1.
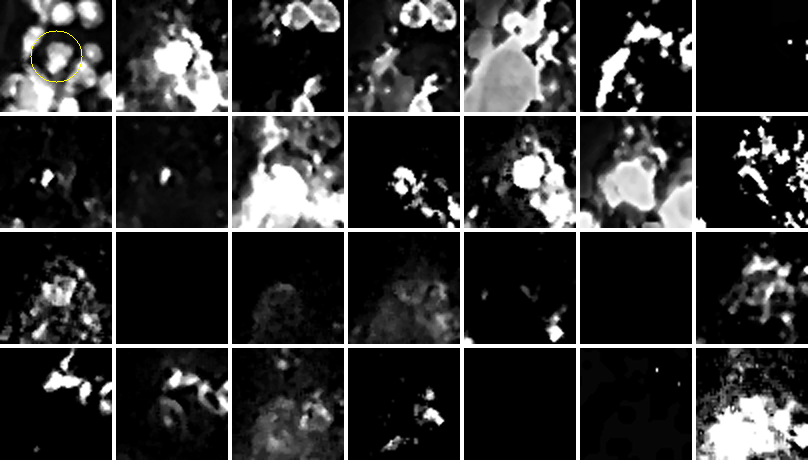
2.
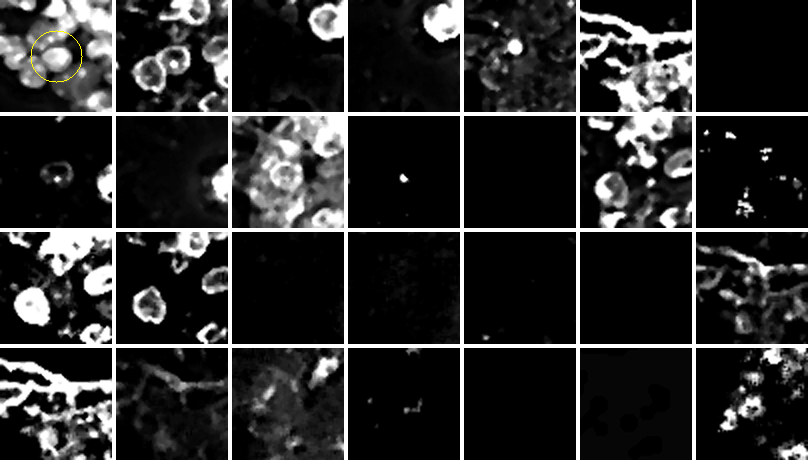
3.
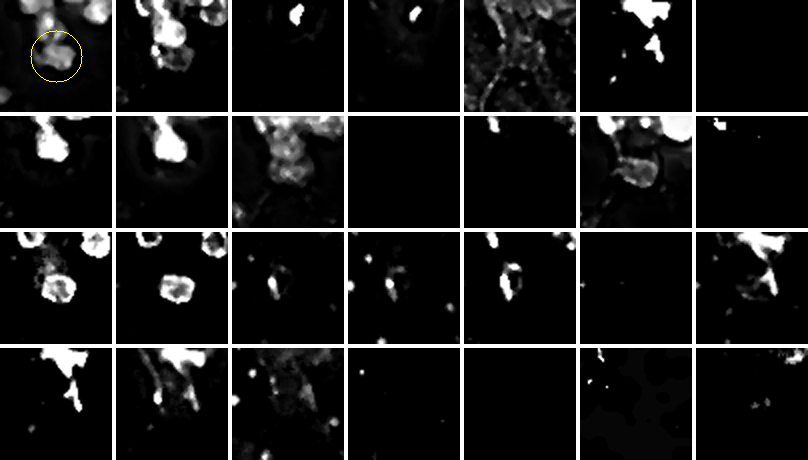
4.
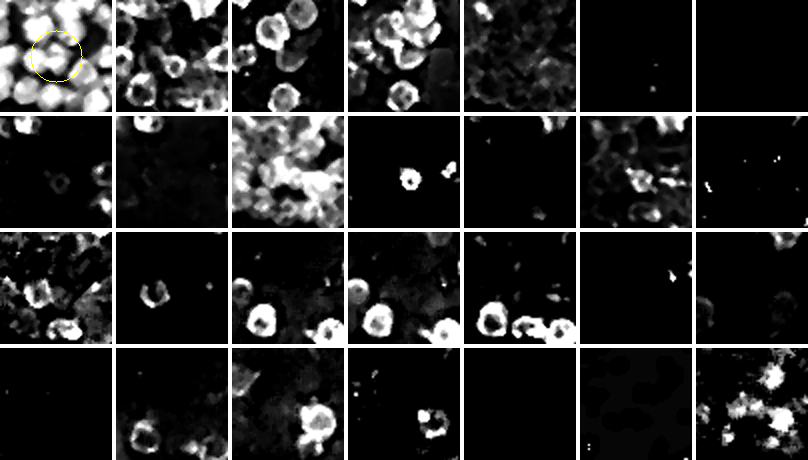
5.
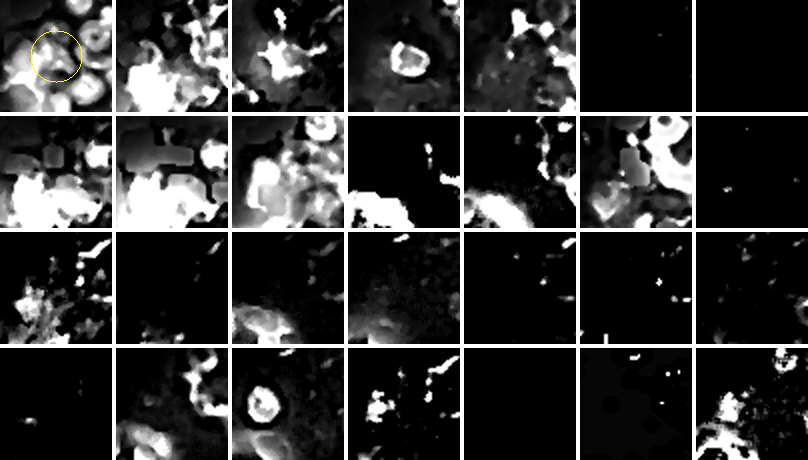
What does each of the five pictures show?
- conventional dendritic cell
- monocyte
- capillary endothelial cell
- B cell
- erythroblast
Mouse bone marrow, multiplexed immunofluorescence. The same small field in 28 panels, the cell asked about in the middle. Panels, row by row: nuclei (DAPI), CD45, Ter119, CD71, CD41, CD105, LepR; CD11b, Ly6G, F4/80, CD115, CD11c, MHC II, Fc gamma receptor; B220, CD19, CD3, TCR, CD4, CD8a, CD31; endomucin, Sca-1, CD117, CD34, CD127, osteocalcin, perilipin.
1. conventional dendritic cell
2. monocyte
3. B cell
4. erythroblast
5. erythroblast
